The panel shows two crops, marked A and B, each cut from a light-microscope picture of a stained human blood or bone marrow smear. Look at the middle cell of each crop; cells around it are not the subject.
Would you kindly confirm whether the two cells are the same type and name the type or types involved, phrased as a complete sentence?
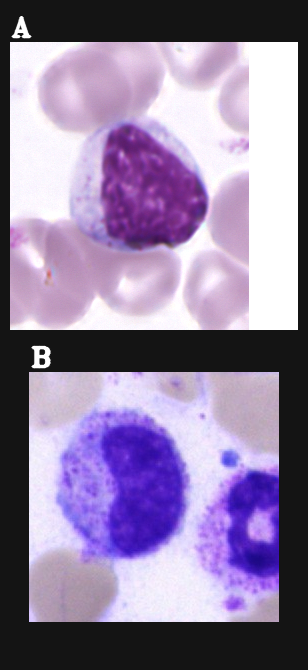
Yes, metamyelocytes are at the centre in both crops.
